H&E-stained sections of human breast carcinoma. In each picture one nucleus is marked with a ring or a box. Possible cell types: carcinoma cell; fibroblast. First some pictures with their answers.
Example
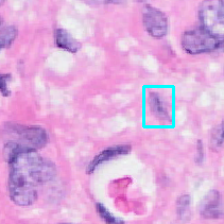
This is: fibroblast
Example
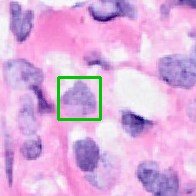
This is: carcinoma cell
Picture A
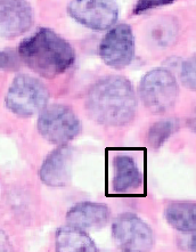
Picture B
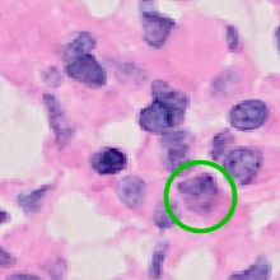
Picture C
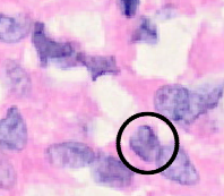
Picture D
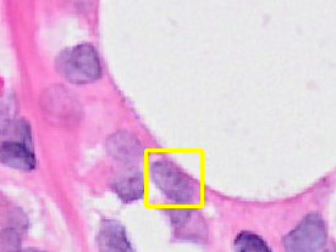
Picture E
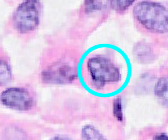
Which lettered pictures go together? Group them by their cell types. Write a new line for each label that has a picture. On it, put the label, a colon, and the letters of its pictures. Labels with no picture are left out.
carcinoma cell: A, B, C, D, E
